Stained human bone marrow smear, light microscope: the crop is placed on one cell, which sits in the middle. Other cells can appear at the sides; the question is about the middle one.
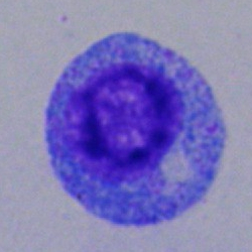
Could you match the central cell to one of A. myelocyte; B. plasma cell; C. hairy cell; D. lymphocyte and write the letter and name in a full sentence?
The middle of the crop holds a myelocyte, which points to option A.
